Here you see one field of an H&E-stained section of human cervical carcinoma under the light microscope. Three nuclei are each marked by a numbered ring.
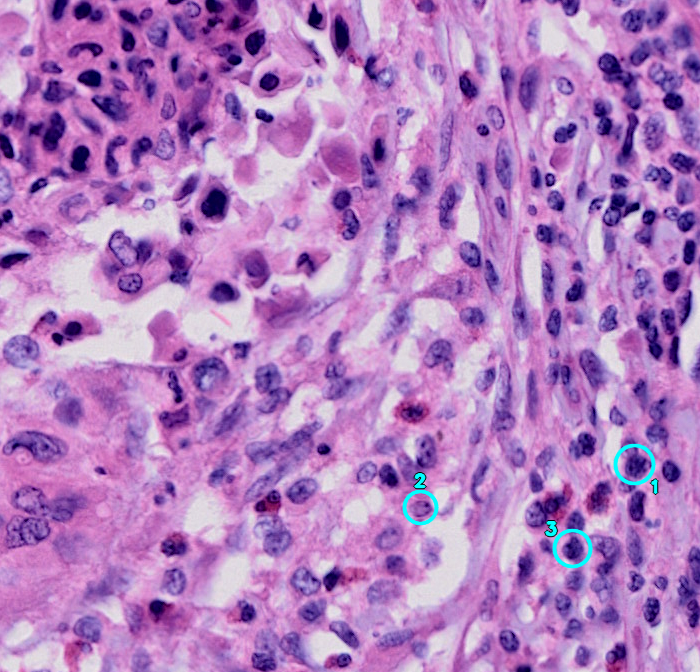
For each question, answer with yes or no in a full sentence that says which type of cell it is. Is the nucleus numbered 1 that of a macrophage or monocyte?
No, cell 1 does not count as a macrophage or monocyte; it is a lymphocyte.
